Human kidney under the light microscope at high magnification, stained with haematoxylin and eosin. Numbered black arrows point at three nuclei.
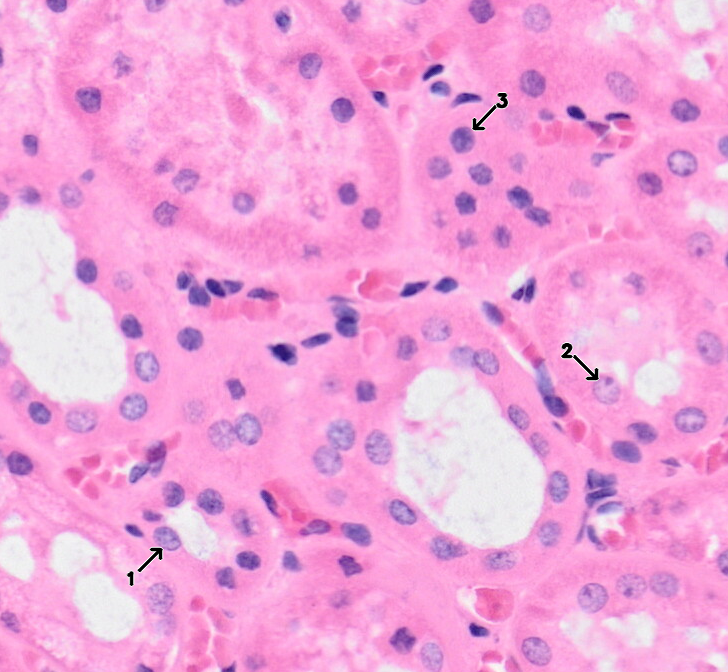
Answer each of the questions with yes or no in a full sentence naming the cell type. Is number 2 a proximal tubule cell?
Yes, the numbered cell 2 is a proximal tubule cell.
